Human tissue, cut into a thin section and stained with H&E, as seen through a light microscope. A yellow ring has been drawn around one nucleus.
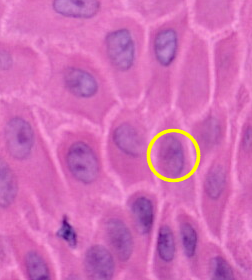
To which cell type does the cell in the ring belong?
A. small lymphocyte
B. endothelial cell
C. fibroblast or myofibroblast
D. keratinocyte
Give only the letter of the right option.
D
